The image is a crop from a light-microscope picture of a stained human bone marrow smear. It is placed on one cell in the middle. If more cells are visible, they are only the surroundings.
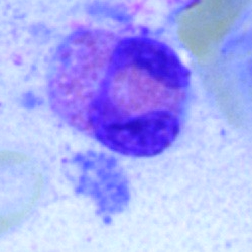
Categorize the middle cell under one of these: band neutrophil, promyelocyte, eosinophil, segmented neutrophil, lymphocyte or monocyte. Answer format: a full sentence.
The central cell shown in this smear crop is an eosinophil.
